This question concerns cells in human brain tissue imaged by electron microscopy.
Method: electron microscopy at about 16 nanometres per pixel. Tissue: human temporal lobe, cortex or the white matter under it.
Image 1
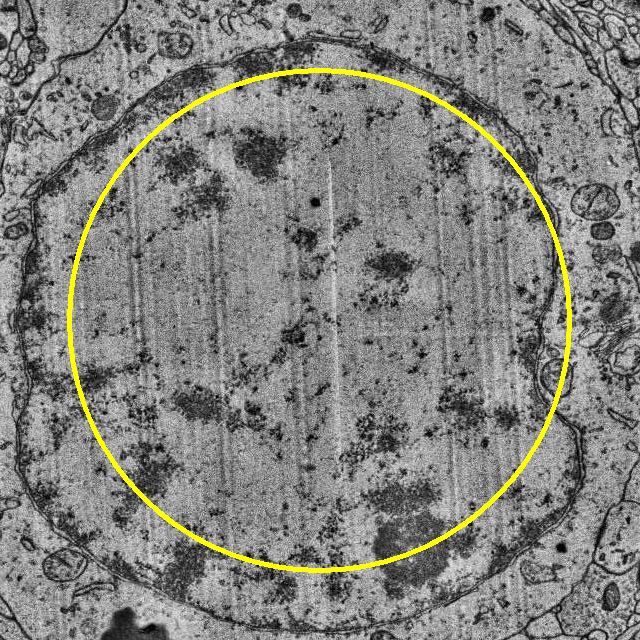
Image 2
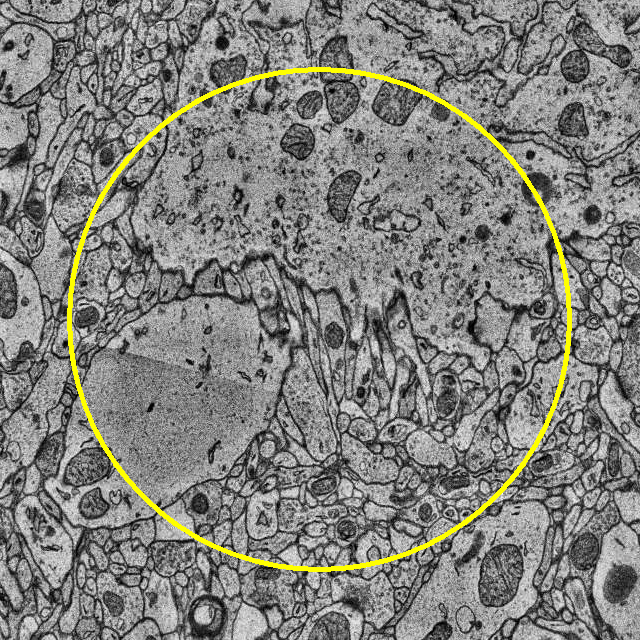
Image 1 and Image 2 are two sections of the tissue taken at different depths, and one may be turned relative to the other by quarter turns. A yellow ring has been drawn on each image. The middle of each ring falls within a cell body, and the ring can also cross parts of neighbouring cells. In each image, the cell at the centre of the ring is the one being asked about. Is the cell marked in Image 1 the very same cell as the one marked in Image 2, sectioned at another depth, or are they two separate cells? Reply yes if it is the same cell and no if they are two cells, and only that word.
no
